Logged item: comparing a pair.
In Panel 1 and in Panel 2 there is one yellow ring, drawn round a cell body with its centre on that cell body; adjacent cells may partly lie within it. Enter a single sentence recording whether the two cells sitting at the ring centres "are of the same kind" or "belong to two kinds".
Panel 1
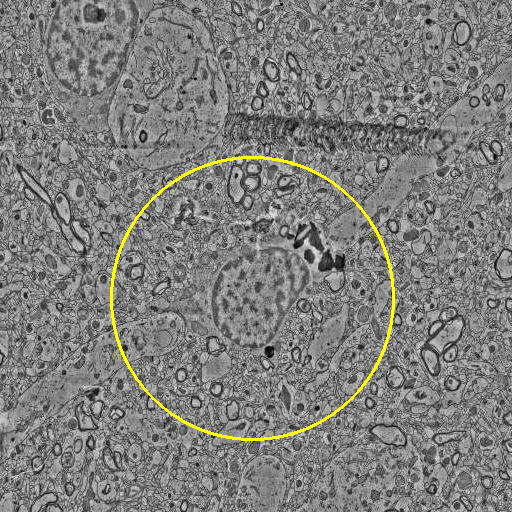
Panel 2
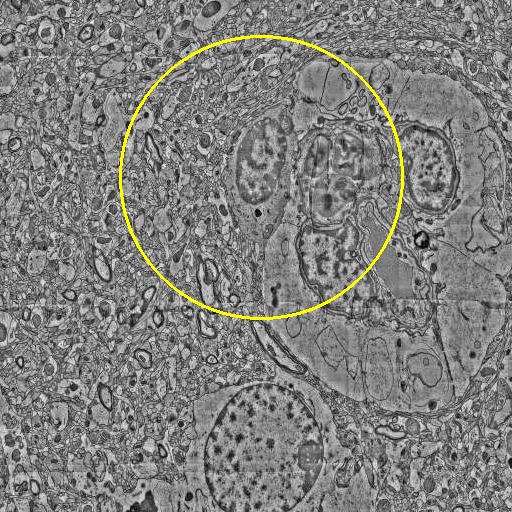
Logged: the cells centred in the rings of Panel 1 and Panel 2 are of the same kind.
